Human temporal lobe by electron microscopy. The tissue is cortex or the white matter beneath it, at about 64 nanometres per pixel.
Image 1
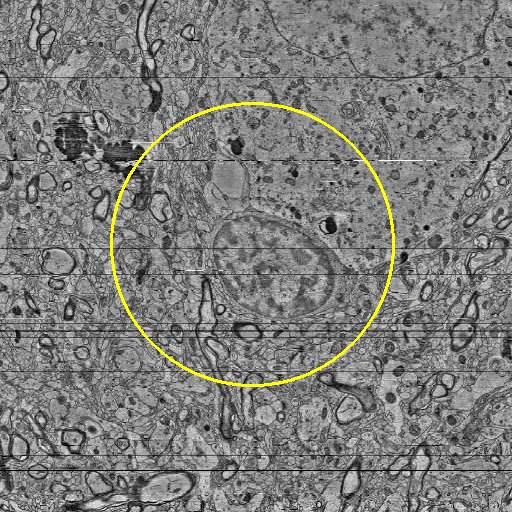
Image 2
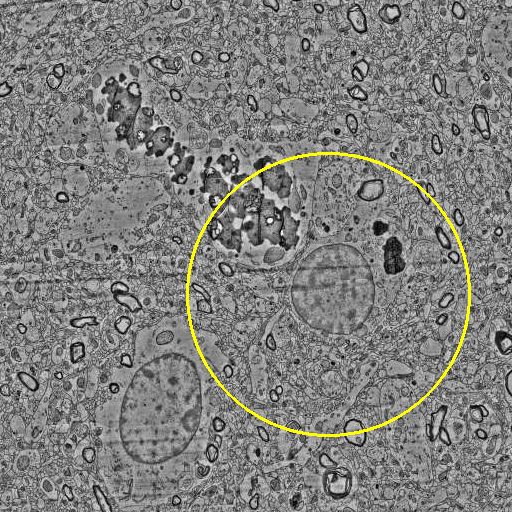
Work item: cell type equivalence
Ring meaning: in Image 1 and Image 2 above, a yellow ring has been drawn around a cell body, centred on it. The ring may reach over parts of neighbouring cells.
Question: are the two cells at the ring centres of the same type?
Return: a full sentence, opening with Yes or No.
Yes, the two centred cells are of the same type.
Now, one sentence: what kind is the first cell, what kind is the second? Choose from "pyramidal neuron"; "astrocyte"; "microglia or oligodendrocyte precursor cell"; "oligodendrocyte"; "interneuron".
Each cell at the centre of a ring is an oligodendrocyte.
